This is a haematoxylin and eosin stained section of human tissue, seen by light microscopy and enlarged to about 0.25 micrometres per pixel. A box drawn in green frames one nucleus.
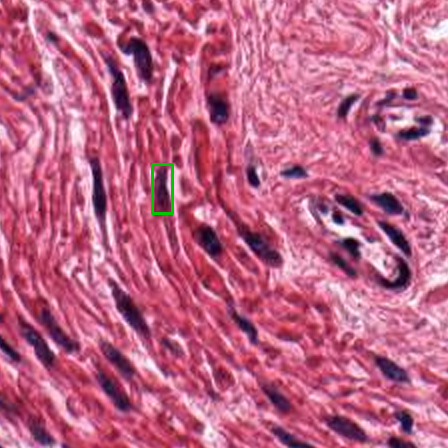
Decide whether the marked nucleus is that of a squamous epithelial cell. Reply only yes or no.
no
